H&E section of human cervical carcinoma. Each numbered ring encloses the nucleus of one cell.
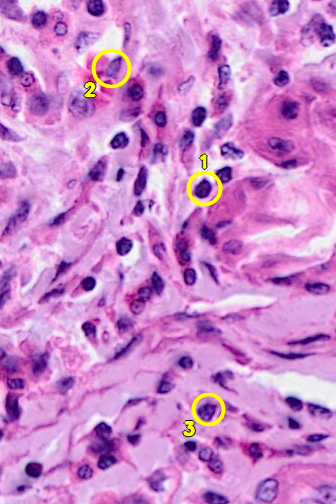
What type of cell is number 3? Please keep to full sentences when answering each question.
In this section, number 3 marks a lymphocyte.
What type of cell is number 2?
The cell bearing label 2 corresponds to an endothelial cell.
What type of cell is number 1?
Among the marked cells, number 1 is a lymphocyte.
